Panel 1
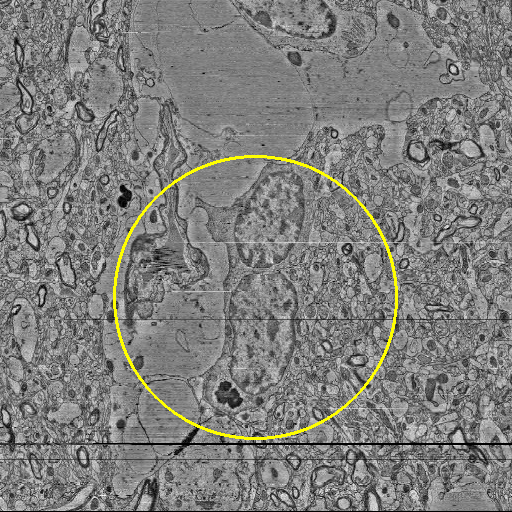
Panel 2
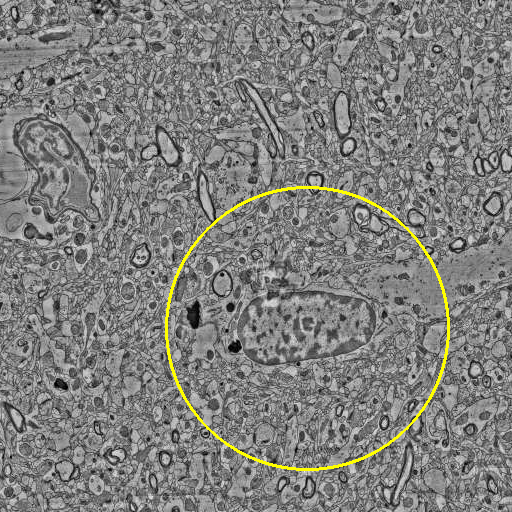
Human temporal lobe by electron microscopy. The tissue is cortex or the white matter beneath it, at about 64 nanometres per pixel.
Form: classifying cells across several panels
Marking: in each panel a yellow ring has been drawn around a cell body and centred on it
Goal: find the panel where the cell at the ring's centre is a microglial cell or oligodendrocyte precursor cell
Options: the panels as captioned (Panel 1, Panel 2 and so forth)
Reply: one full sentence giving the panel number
Panel 2 shows the wanted cell at the centre of its ring.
